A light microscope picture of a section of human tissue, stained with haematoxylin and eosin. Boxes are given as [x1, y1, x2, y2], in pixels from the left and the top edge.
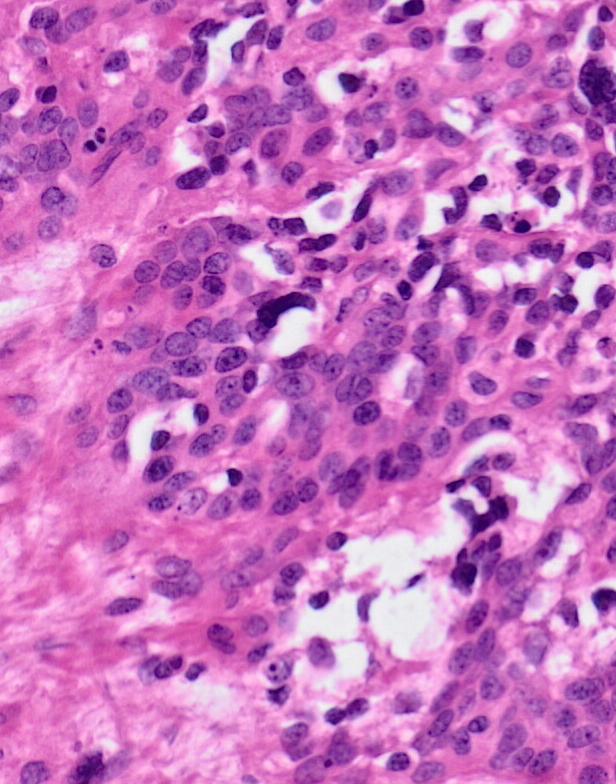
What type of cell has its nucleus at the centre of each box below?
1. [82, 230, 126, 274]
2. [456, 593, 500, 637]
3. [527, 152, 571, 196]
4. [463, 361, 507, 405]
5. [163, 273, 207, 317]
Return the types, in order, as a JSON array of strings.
["macrophage or monocyte", "carcinoma cell", "carcinoma cell", "macrophage or monocyte", "carcinoma cell"]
